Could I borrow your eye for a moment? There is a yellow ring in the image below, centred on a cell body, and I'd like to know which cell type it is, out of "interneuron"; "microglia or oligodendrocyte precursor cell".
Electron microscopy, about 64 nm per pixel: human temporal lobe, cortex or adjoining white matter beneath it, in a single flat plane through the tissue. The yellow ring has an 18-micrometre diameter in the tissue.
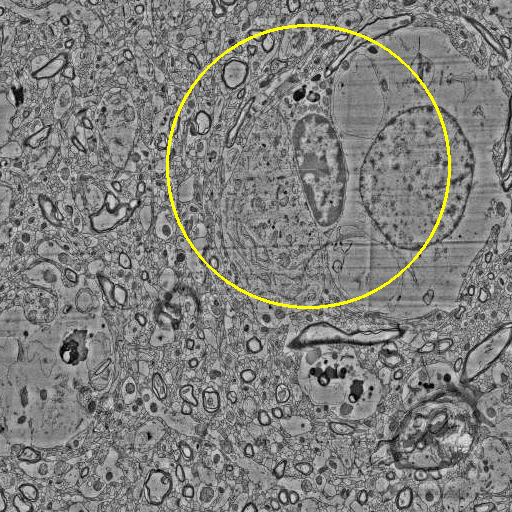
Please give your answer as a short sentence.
The cell body at the centre is that of a microglial cell or oligodendrocyte precursor cell.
